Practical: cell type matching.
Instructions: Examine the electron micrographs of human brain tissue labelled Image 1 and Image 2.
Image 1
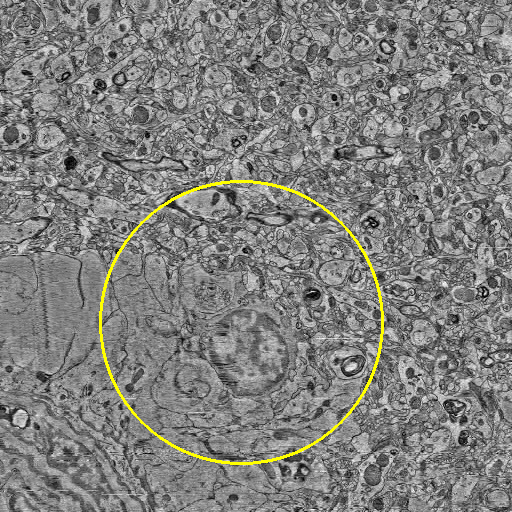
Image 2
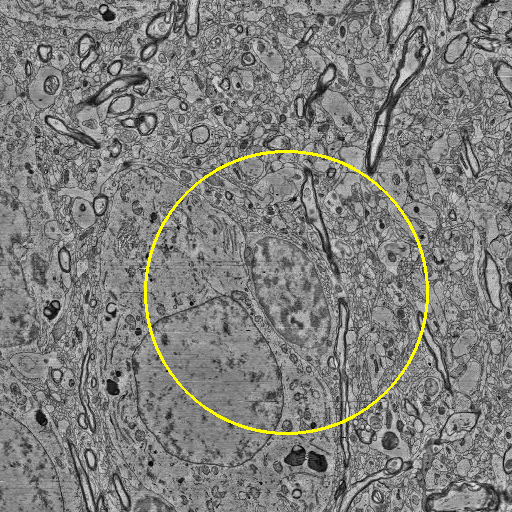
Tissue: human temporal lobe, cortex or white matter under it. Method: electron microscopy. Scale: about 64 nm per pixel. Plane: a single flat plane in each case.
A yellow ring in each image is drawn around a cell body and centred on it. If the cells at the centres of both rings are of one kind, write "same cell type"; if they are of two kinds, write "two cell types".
same cell type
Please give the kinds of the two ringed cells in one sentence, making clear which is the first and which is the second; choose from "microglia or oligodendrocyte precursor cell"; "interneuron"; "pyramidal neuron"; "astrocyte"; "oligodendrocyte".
The cell in the first picture is an oligodendrocyte, and so is the one in the second.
